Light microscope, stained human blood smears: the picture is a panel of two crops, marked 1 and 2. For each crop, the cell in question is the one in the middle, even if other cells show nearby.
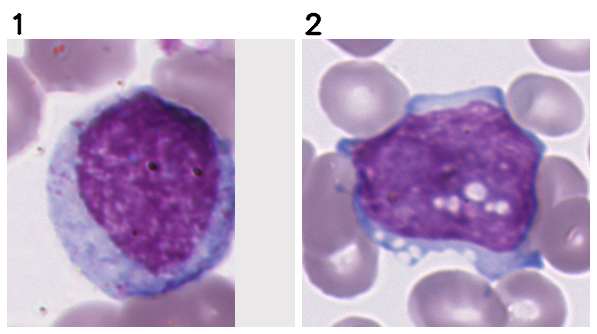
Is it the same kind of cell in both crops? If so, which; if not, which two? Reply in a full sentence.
No, it is crop 1 that shows a promyelocyte, and crop 2 shows a myeloblast.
